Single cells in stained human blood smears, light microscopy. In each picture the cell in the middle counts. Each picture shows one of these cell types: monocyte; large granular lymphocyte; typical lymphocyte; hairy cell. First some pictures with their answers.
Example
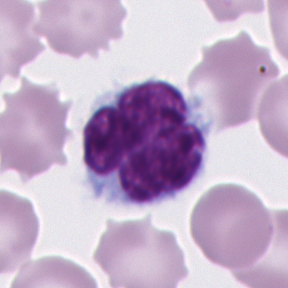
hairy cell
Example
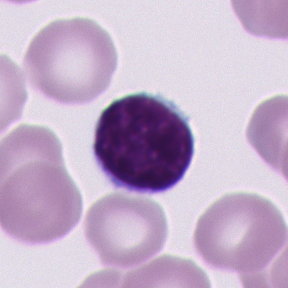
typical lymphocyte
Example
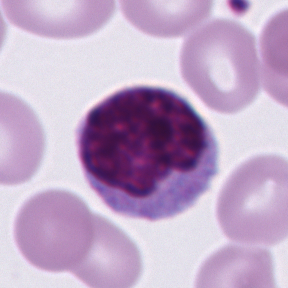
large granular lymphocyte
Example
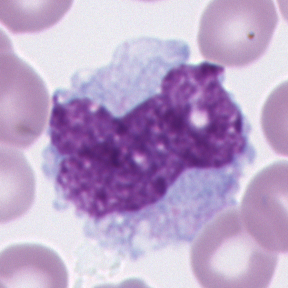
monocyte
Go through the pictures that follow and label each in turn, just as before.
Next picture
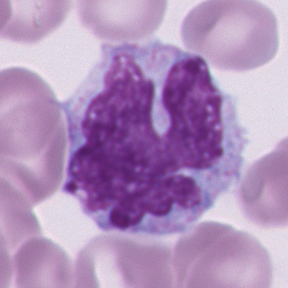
monocyte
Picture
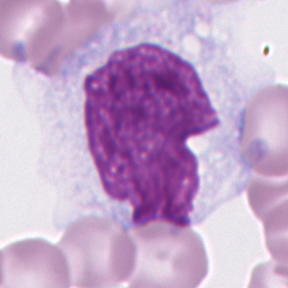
monocyte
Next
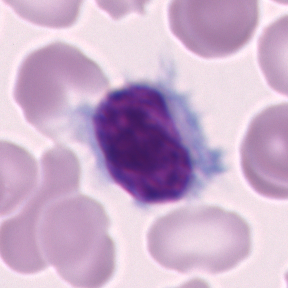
hairy cell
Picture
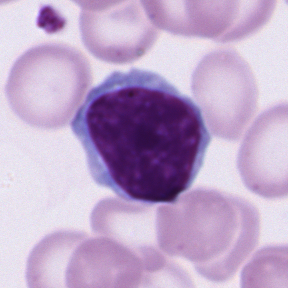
typical lymphocyte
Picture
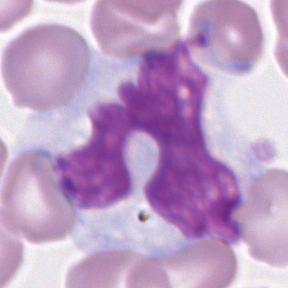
monocyte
